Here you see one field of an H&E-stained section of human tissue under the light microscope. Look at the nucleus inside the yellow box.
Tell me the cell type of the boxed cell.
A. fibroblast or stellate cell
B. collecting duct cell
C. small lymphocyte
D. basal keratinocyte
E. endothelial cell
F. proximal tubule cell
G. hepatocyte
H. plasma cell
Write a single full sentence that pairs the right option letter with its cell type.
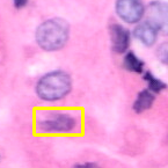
Option F properly identifies the boxed cell as a proximal tubule cell.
